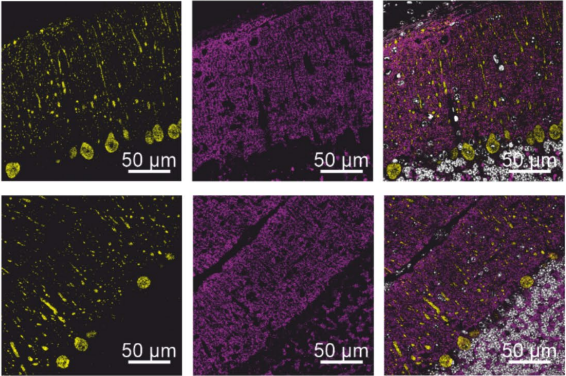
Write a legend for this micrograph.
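These confocal images show the cerebellar molecular layer, densely filled with fine magenta puncta and crossed by yellow dendritic streaks. Round yellow cell bodies lie in a row along its lower edge, and beneath them a zone crowded with white nuclei is seen in the merged images.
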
